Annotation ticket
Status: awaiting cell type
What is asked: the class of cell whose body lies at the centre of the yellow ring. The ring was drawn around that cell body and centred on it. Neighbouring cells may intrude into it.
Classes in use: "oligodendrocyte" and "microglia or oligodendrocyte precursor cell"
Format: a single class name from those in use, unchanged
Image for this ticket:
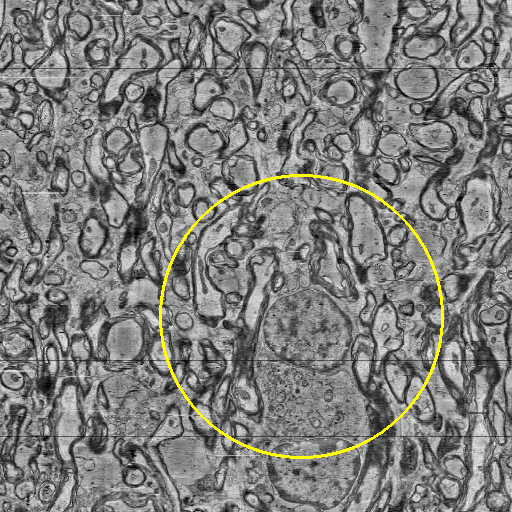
oligodendrocyte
